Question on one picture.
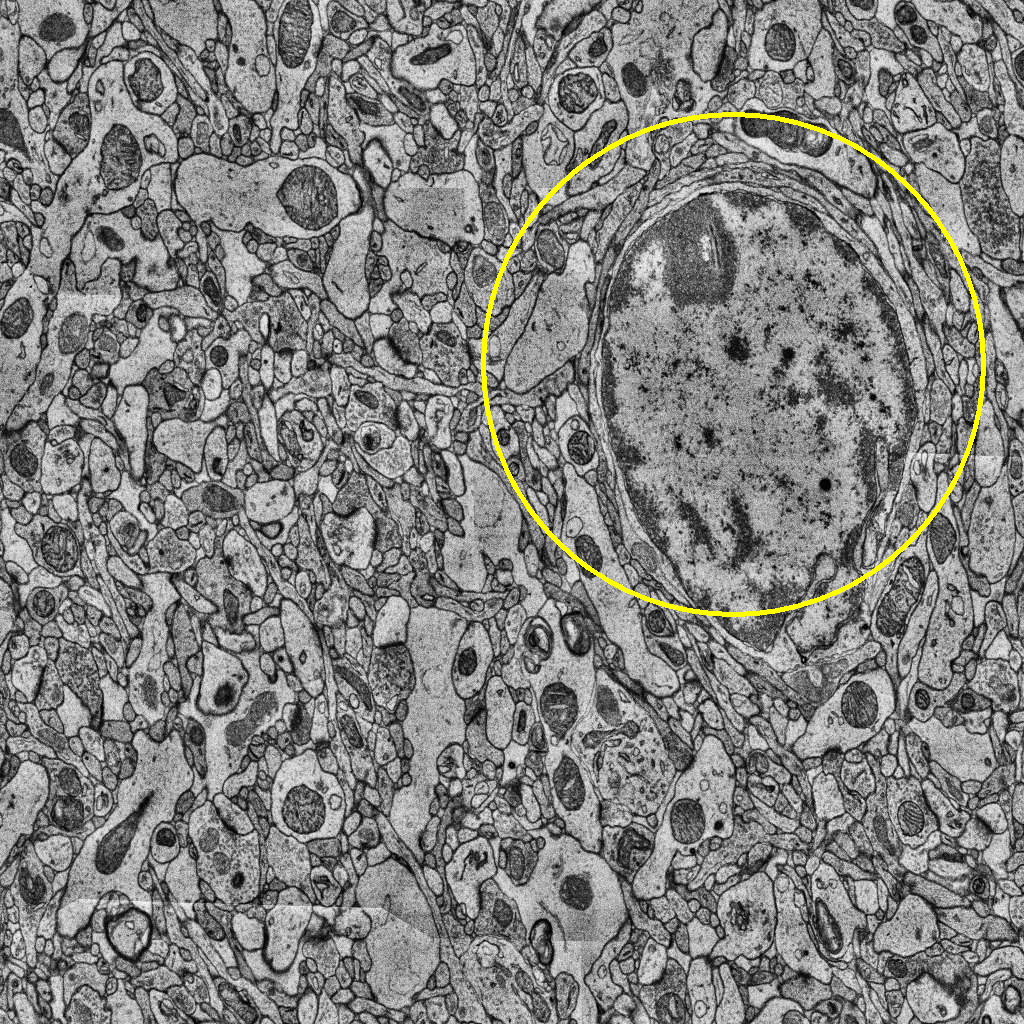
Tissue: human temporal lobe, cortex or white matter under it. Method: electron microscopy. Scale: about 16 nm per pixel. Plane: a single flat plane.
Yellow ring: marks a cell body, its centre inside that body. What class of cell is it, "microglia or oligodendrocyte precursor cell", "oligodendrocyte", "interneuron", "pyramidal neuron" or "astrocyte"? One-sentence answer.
This is a microglial cell or oligodendrocyte precursor cell, the cell at the ring's centre.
